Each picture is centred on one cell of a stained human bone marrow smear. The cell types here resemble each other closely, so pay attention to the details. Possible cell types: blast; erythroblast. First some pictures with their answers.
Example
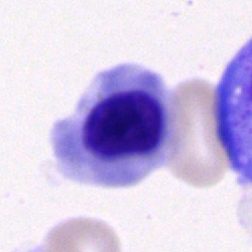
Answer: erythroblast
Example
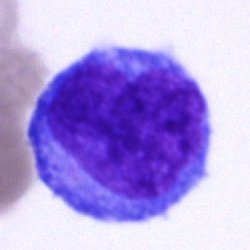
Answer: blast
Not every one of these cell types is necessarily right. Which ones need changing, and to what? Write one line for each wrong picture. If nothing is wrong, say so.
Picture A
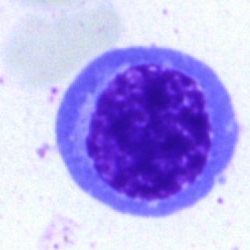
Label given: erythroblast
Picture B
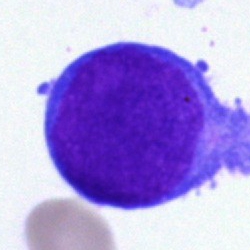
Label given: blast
All labels are correct.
